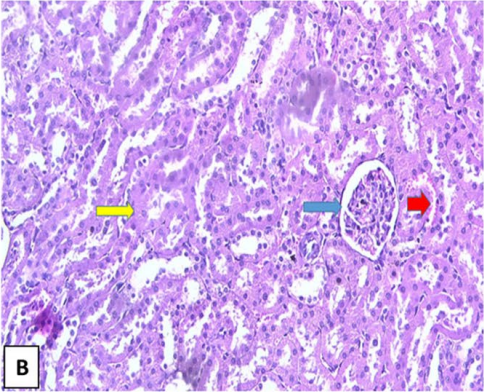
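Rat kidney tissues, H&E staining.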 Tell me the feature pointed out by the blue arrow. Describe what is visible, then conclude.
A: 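A round capillary tuft with many nuclei. The tuft lies inside a capsule with a clear space around it. That points to this answer: renal glomeruli.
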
